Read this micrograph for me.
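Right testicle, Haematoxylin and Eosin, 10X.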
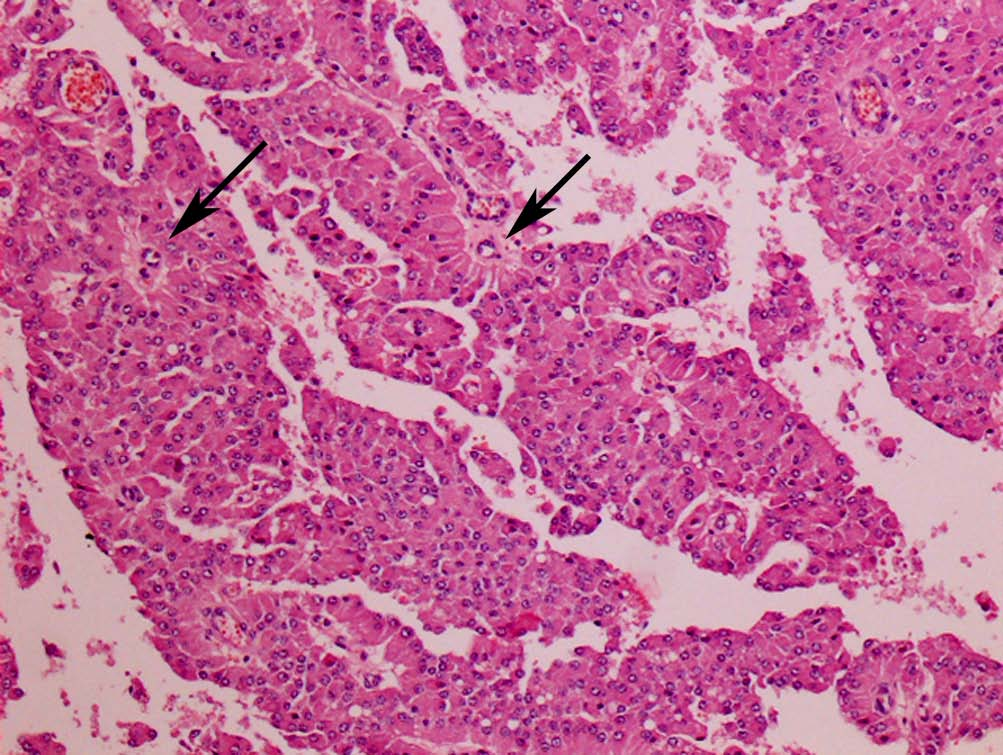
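In places the cells line up radially around small blood vessels, forming pseudorosettes. The sheets are held together by only a thin connective stroma and are split by clefts.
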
